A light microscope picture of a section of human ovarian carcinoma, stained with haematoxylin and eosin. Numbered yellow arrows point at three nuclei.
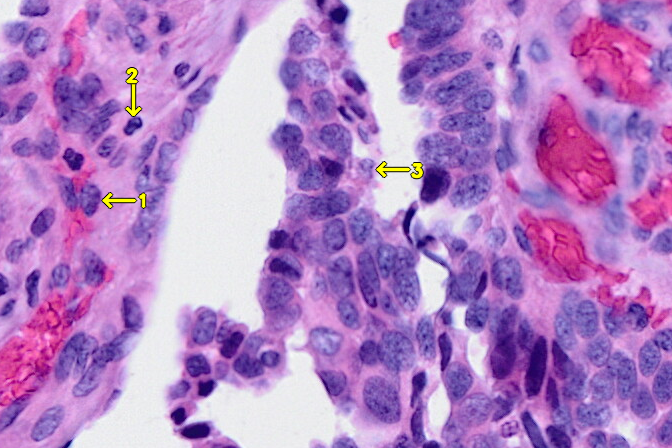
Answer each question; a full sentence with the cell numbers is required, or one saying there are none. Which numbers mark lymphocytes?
Exactly one numbered cell is a lymphocyte, and that cell is number 2.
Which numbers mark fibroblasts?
None among the numbered cells are fibroblasts.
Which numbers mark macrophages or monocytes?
Mind that only cell 3 is a macrophage or monocyte, none of the rest.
